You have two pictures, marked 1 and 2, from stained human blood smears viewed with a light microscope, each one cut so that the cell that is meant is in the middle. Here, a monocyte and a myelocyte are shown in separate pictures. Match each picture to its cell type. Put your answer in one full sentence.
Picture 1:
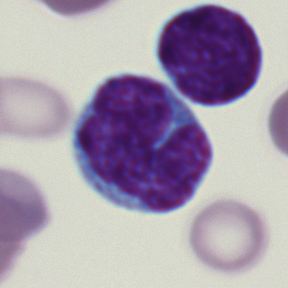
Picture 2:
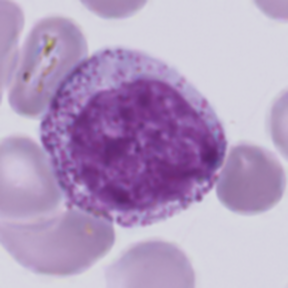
Picture 1 is of a monocyte, and picture 2 is of a myelocyte.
